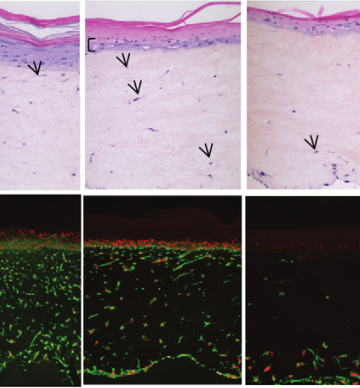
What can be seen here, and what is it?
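In the left image the epidermis is a thick purple band of nucleated cell layers beneath a wavy, pink, layered cornified layer, and dark blue fibroblast nuclei are scattered through the dermis. In the fluorescence row, red nuclei line the epidermis at the top, and green, elongated, branching fibroblast profiles fill the dermis densely on the left. These green cells are fewer in the middle image and sparse in the right image, where they lie mostly near the bottom of the dermis.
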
